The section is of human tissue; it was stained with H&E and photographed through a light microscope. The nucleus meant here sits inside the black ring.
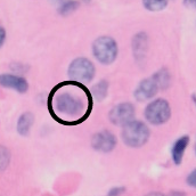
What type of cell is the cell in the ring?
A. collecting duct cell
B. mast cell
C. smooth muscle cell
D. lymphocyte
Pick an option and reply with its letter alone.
A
